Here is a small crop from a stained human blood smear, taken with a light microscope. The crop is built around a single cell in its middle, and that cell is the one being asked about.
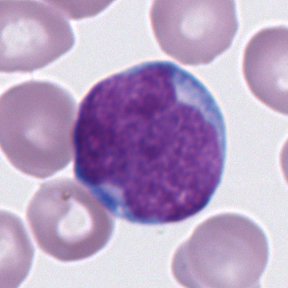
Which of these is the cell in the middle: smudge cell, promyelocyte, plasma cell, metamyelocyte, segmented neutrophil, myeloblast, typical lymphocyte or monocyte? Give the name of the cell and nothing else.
myeloblast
